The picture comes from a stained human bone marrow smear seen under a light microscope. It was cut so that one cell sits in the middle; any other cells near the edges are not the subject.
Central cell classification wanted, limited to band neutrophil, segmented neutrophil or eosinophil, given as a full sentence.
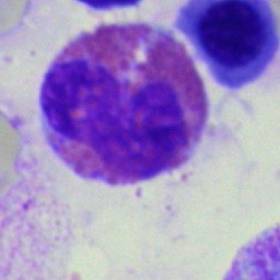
The cell in the exact centre of the crop is an eosinophil.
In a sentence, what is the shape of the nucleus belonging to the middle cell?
The nucleus is divided into two or more distinct lobes.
